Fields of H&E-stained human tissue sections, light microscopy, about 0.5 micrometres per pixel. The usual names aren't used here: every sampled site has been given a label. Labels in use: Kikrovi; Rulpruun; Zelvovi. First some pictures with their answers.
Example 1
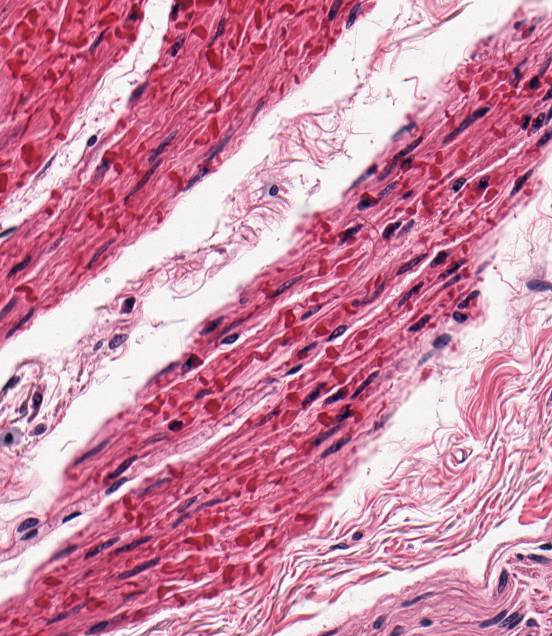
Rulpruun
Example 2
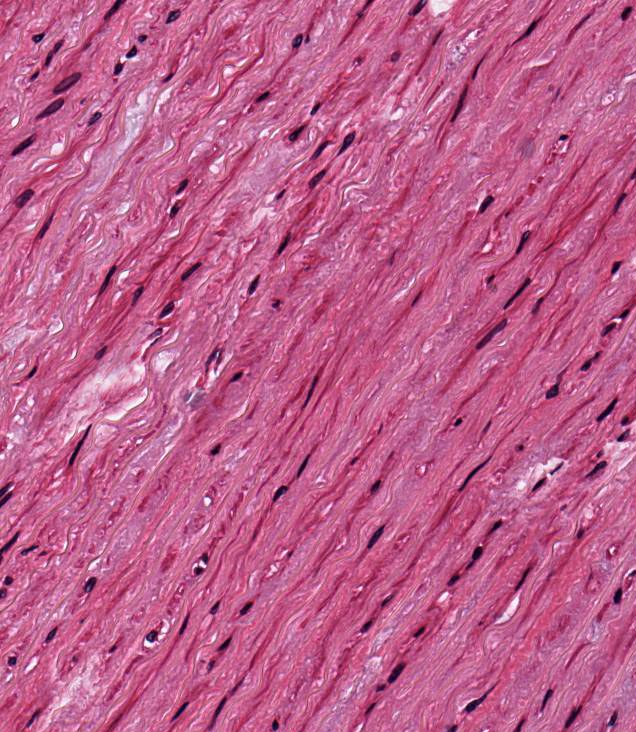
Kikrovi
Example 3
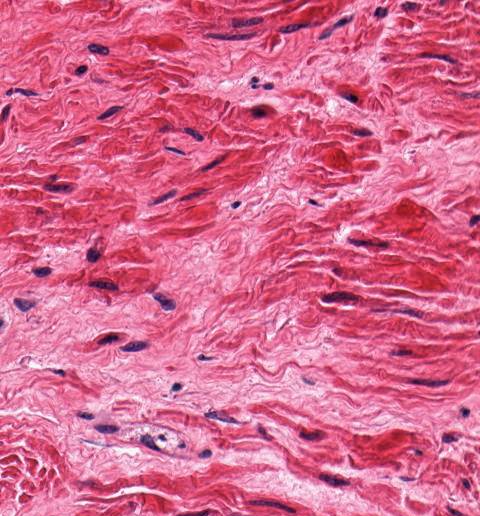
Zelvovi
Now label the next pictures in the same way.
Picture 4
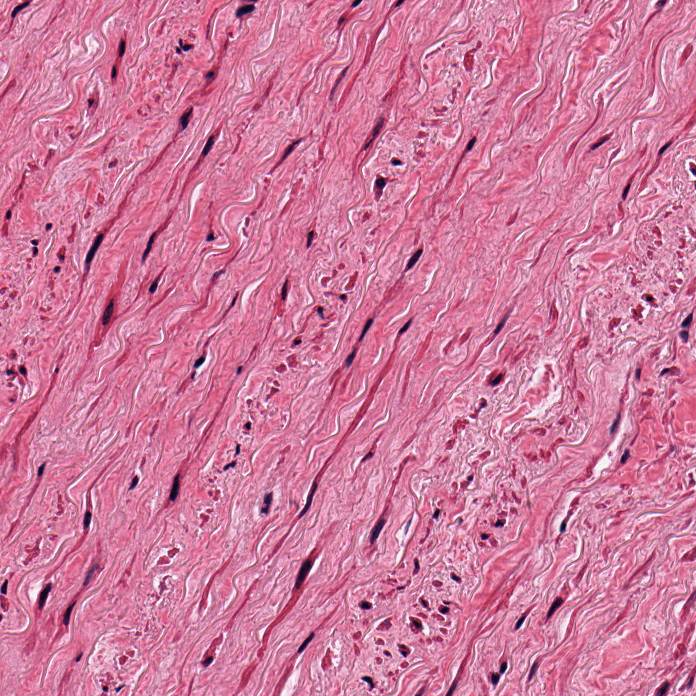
Kikrovi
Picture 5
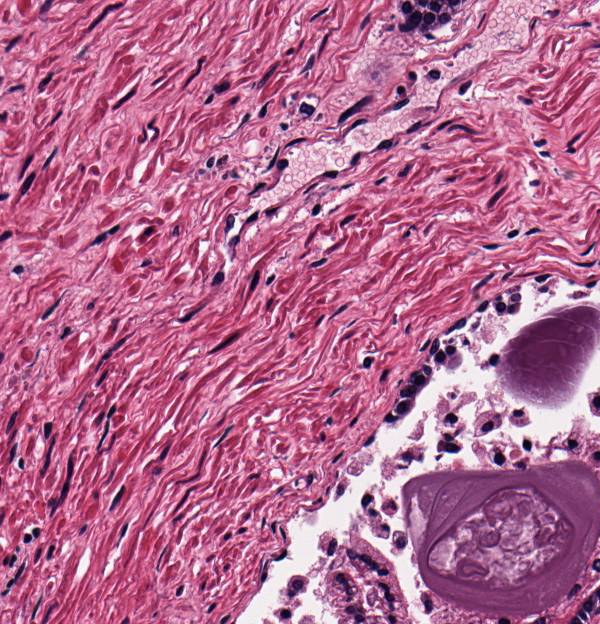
Zelvovi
